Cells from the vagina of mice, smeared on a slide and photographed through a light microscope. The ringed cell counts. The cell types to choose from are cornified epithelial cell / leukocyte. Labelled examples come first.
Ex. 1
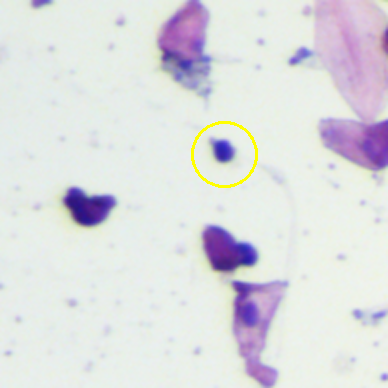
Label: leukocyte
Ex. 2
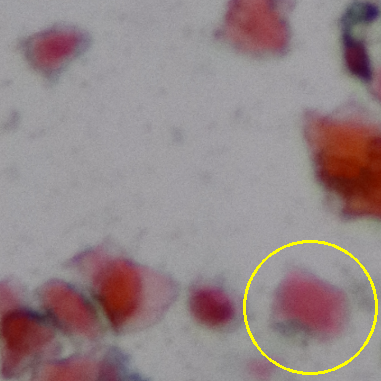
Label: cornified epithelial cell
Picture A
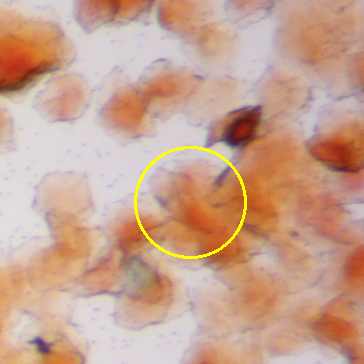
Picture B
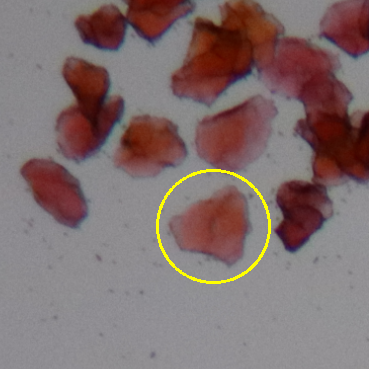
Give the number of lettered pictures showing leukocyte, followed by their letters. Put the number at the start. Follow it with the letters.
0, none of them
